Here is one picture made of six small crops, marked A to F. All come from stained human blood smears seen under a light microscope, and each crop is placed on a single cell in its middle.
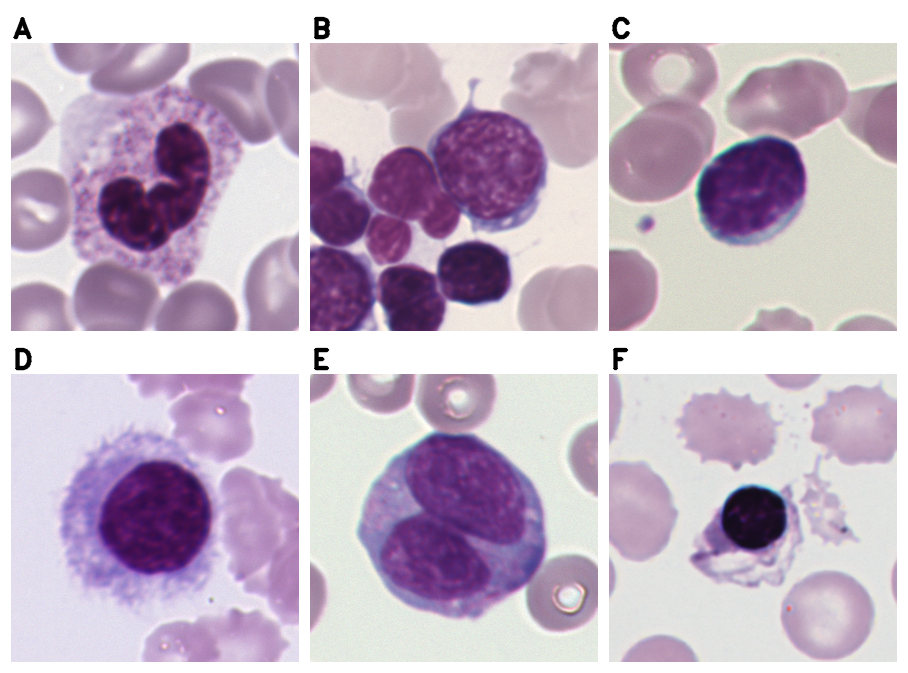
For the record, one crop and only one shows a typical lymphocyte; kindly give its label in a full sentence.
The crop bearing a typical lymphocyte is crop C.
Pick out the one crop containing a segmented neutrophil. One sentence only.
Here the crop that shows a segmented neutrophil is crop A.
